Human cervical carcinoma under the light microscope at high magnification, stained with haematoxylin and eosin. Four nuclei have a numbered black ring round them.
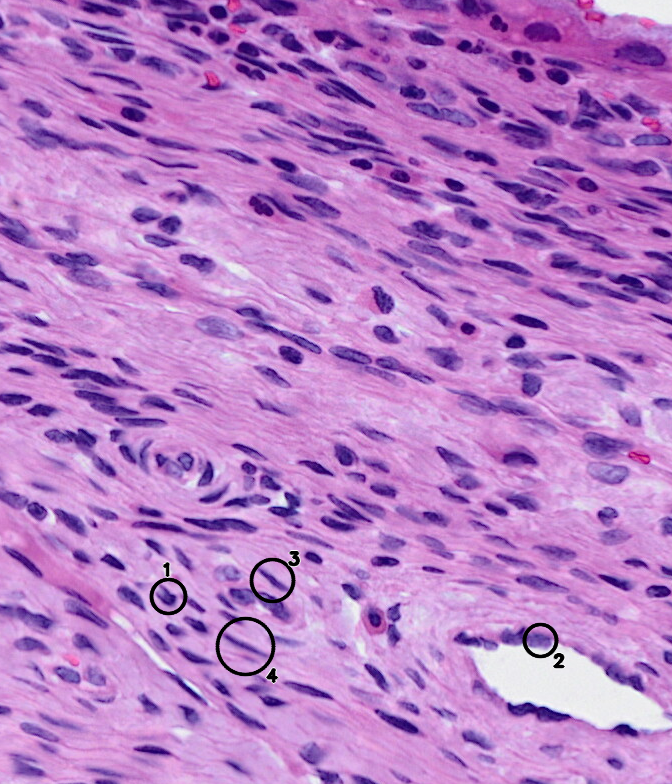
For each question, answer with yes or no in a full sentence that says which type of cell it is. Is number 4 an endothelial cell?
No, the cell that carries number 4 is a fibroblast, not an endothelial cell.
